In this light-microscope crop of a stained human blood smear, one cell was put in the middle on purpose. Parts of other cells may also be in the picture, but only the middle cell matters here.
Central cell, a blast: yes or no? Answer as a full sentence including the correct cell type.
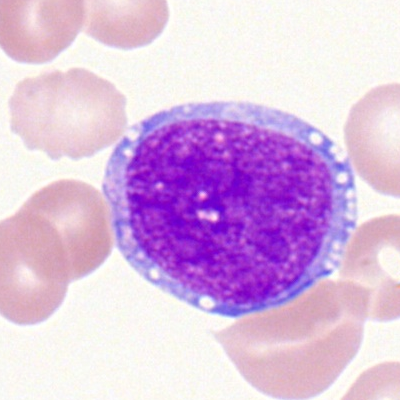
Yes, the cell that the crop is centered on is a blast.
